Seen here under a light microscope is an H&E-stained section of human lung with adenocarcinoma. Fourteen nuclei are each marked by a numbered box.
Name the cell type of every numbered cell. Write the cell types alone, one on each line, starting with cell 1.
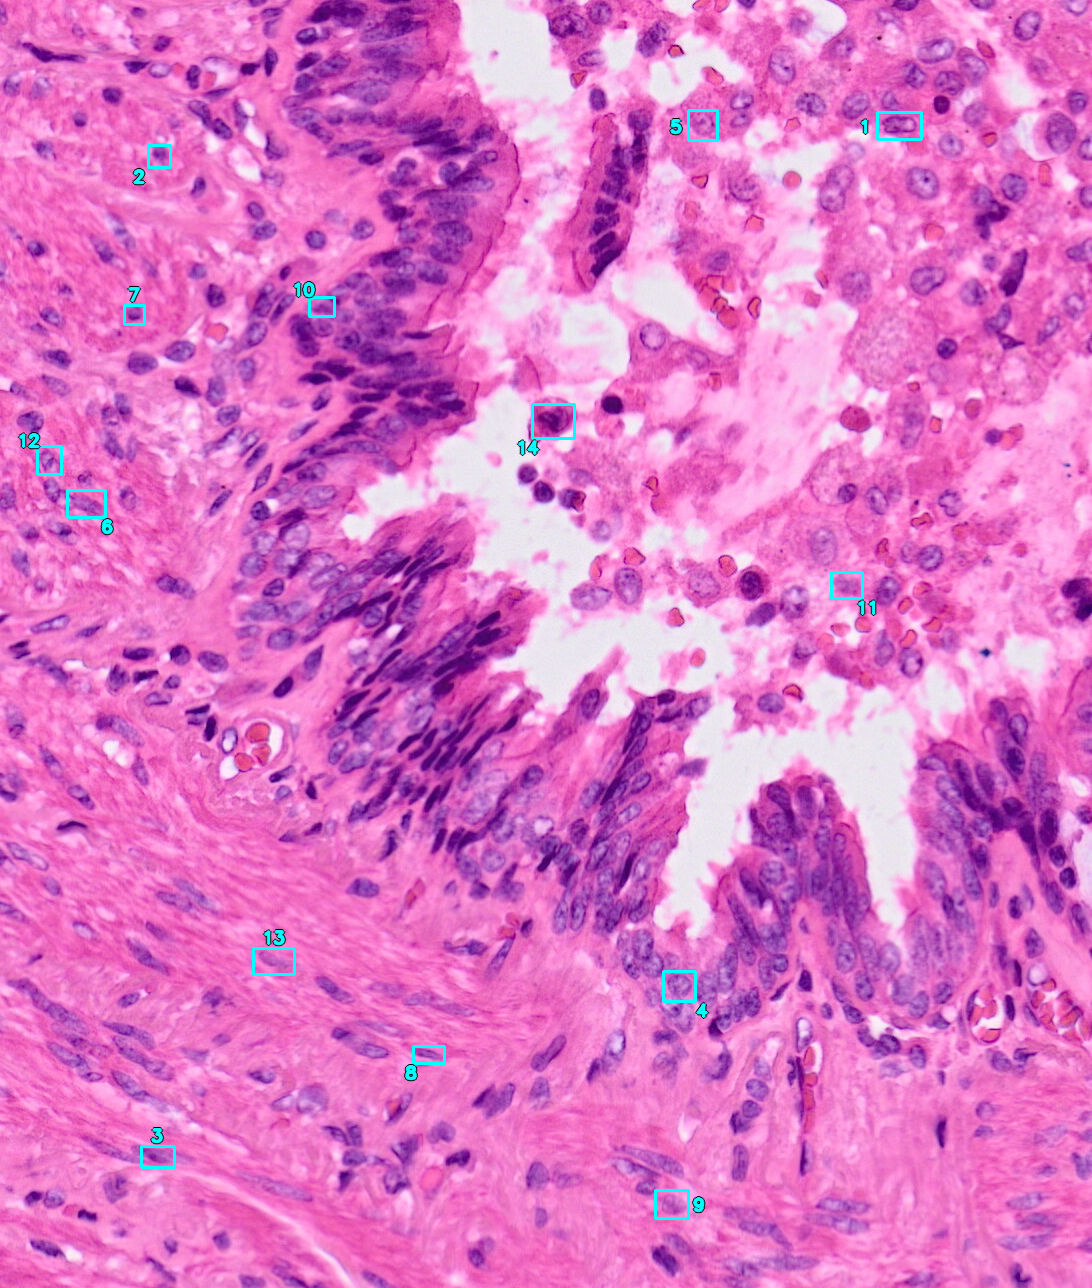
macrophage or monocyte
smooth muscle cell or pericyte
smooth muscle cell or pericyte
ciliated epithelial cell
macrophage or monocyte
smooth muscle cell or pericyte
smooth muscle cell or pericyte
smooth muscle cell or pericyte
smooth muscle cell or pericyte
ciliated epithelial cell
macrophage or monocyte
smooth muscle cell or pericyte
smooth muscle cell or pericyte
macrophage or monocyte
